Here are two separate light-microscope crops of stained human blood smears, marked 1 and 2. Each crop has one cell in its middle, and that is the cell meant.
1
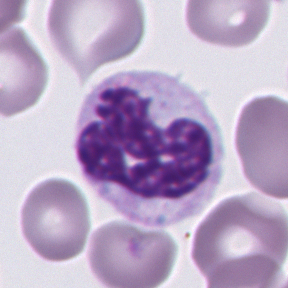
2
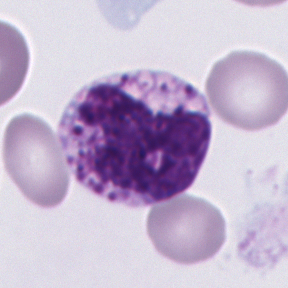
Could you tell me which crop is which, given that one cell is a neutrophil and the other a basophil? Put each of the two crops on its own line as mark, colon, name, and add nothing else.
1: neutrophil
2: basophil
